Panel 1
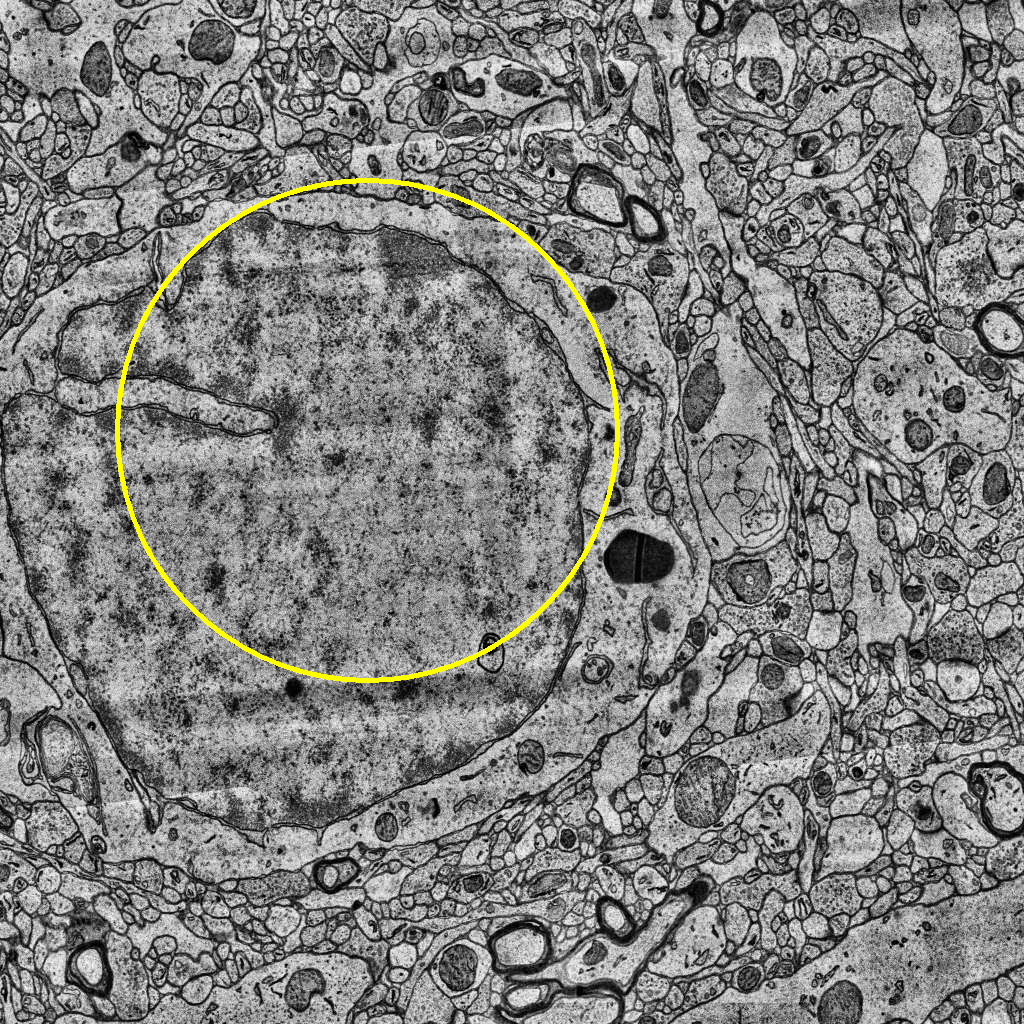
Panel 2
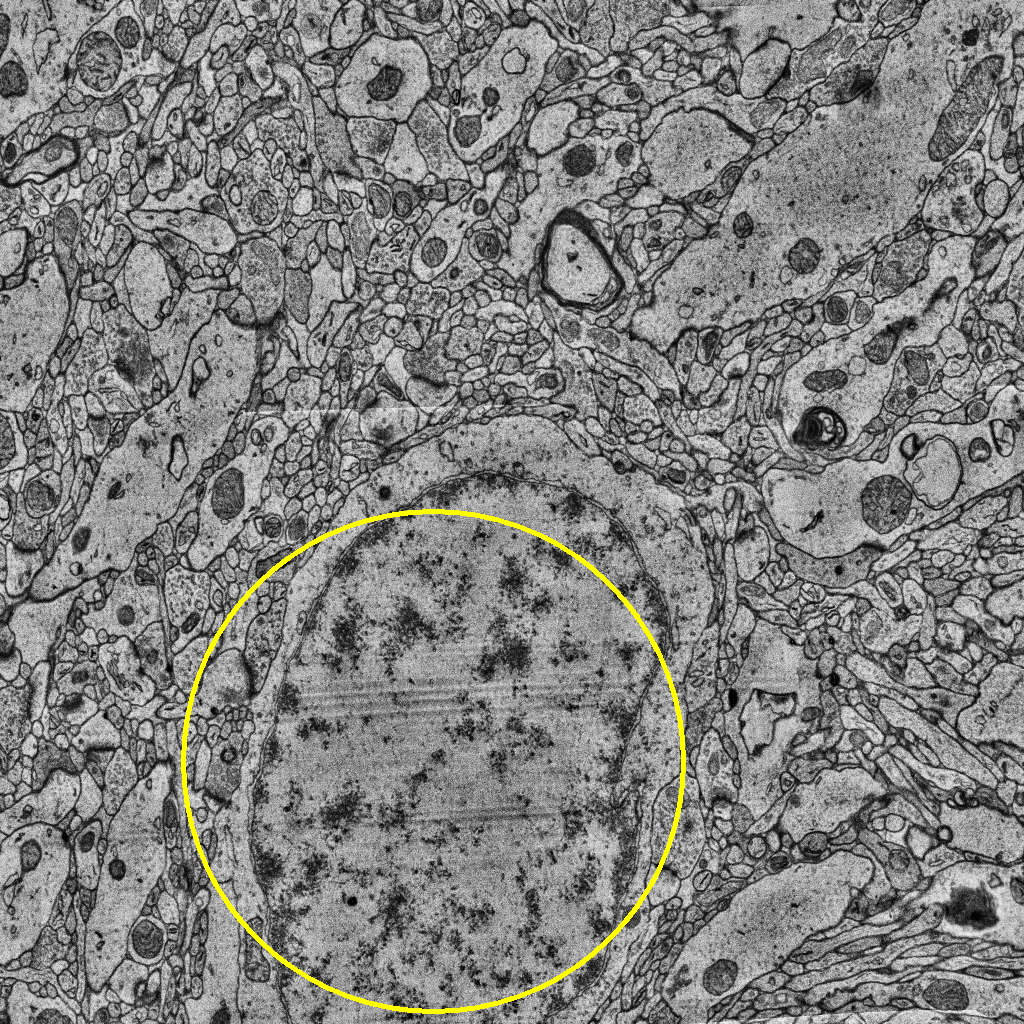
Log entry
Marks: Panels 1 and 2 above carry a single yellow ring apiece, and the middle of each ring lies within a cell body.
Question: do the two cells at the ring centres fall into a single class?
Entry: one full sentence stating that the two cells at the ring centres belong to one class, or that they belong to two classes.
The two cells at the ring centres in Panels 1 and 2 belong to one class.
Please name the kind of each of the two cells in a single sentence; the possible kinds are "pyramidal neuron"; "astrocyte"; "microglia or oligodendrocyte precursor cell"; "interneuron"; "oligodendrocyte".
Each of the two cells is an interneuron.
